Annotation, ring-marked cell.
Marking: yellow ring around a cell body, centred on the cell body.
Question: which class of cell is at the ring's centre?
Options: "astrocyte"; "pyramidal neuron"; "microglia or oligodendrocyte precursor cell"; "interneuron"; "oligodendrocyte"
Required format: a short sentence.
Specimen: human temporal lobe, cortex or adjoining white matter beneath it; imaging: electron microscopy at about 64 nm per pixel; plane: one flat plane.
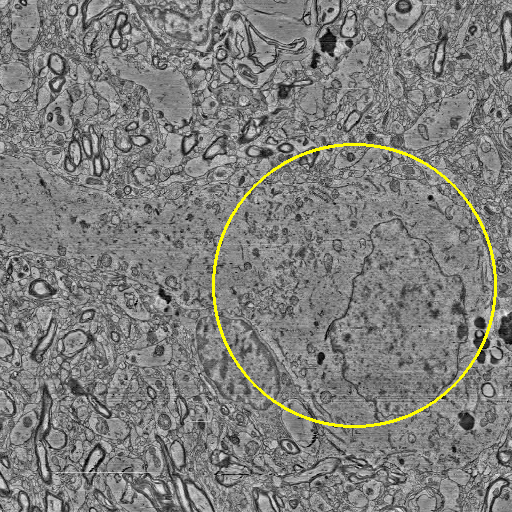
At the ring's centre is a pyramidal neuron.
